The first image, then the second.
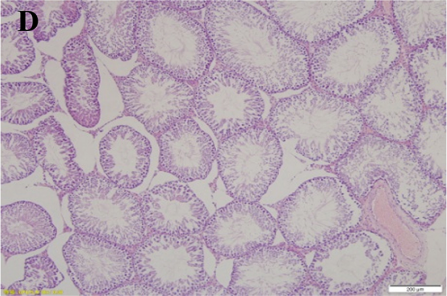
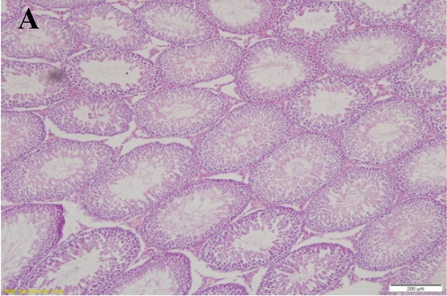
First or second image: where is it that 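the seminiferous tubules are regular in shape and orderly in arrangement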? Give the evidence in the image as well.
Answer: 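First image: tubule profiles vary in size and outline, some small and irregular, with wide empty spaces between them. Second image: tubule profiles are of similar oval shape and size and lie closely packed.
Answer: the second image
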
